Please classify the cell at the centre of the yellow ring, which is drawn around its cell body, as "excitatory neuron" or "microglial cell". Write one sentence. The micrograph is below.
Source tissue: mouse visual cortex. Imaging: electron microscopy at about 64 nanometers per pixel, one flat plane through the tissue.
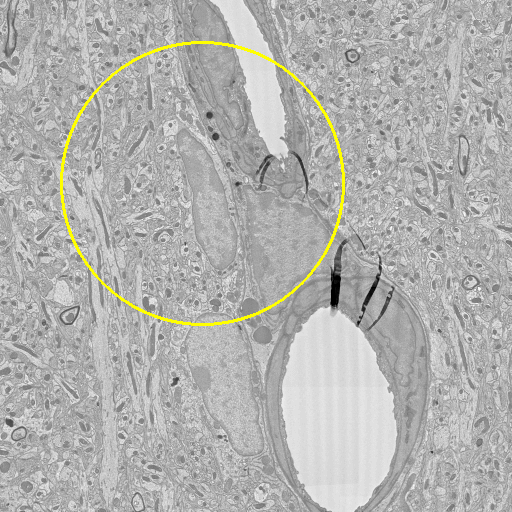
The cell at the ring's centre is classified as a microglial cell.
